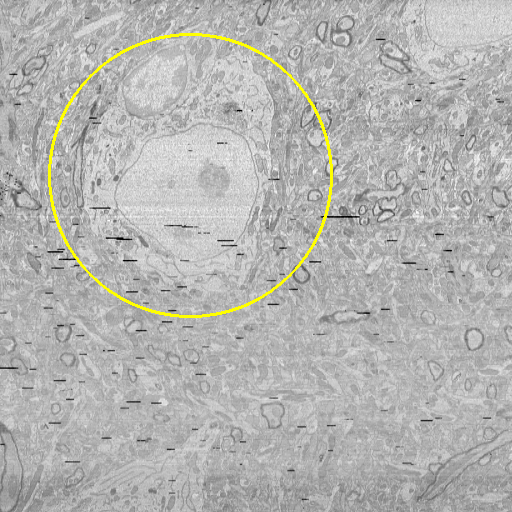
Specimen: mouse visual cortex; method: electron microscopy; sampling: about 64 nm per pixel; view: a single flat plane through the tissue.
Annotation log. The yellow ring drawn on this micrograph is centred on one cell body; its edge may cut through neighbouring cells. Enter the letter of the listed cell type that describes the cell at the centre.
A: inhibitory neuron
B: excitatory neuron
B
